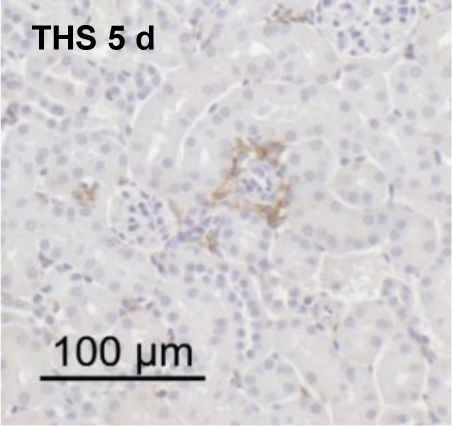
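The tubules appear as rounded profiles lined by cells with small round blue nuclei and pale cytoplasm. Near the centre a rounded glomerulus with densely packed nuclei is seen. The brown-stained cells are irregular and branching and gather in a cluster at the edge of this glomerulus, with a few more scattered in the spaces between tubules.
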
